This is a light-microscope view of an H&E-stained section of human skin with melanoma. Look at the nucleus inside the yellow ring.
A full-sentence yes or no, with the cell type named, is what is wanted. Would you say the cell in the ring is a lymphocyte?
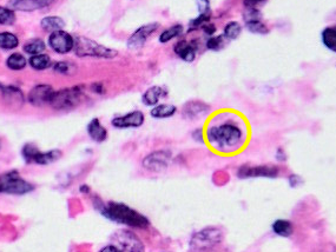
Yes, the cell in the ring is rightly regarded as a lymphocyte.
